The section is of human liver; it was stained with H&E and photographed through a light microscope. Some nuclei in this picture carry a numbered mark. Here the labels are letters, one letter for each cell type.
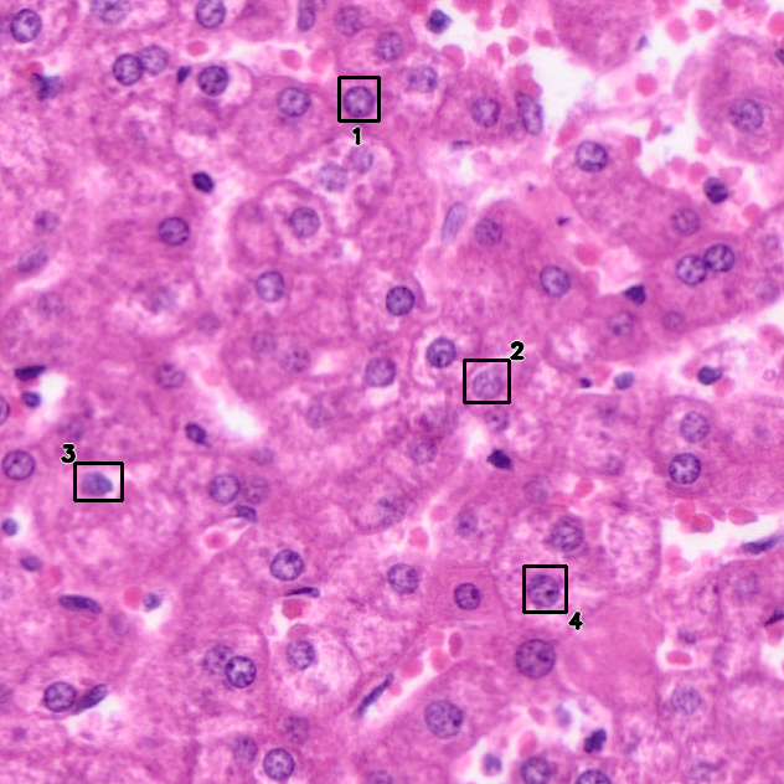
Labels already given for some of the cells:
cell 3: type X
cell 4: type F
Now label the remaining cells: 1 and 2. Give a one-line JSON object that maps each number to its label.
{"1": "type F", "2": "type F"}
